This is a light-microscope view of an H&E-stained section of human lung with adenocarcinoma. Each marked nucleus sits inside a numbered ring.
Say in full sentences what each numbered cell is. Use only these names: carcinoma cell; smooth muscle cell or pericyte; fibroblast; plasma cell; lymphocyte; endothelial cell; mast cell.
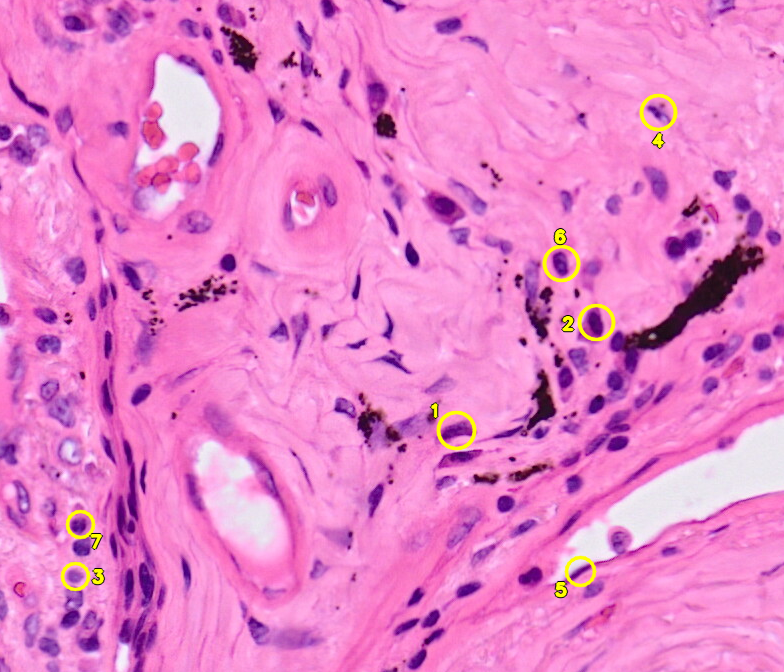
Cells 1, 2 and 7 are plasma cells. Cell 3 is a lymphocyte. Cell 4 is a fibroblast. Cell 5 is an endothelial cell. Cell 6 is a mast cell.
